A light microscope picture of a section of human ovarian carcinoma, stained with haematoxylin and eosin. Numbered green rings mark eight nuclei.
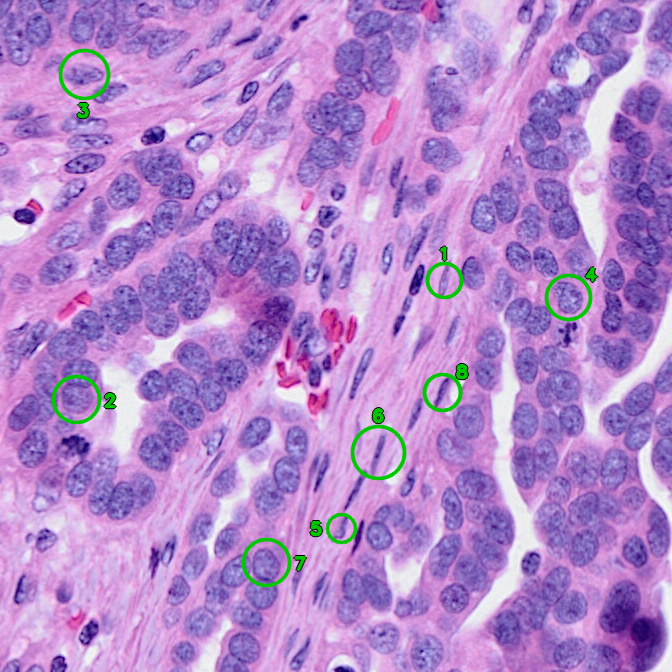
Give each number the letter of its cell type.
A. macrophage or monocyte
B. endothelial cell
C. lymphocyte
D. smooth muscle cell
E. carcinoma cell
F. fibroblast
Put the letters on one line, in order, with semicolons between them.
F; E; F; E; F; F; E; F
